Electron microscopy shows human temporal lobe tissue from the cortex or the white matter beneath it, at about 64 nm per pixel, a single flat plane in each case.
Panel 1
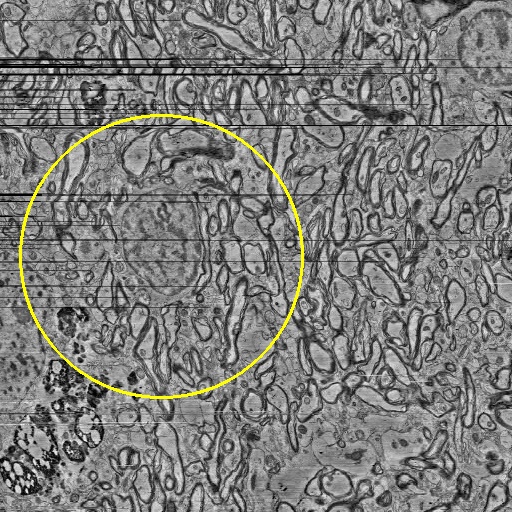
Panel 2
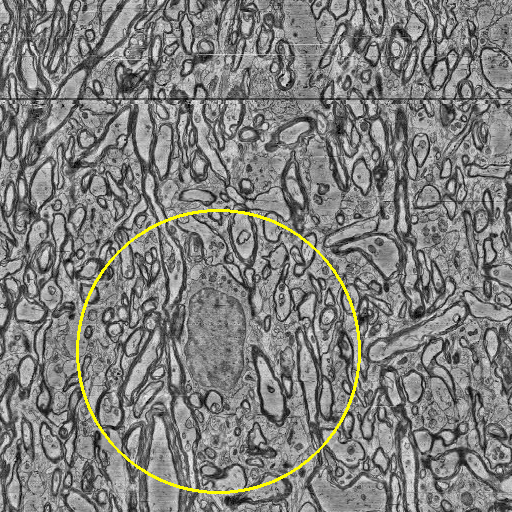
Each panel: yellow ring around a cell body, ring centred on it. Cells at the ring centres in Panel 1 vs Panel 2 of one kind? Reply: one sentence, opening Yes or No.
Yes, Panel 1 and Panel 2 have cells of one kind at the ring centres.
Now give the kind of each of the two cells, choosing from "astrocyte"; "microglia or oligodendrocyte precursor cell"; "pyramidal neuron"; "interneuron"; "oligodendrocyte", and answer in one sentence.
Each of the ringed cells, first and second, is an oligodendrocyte.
